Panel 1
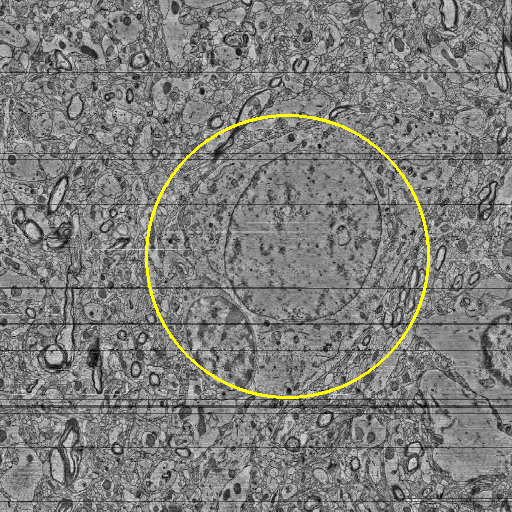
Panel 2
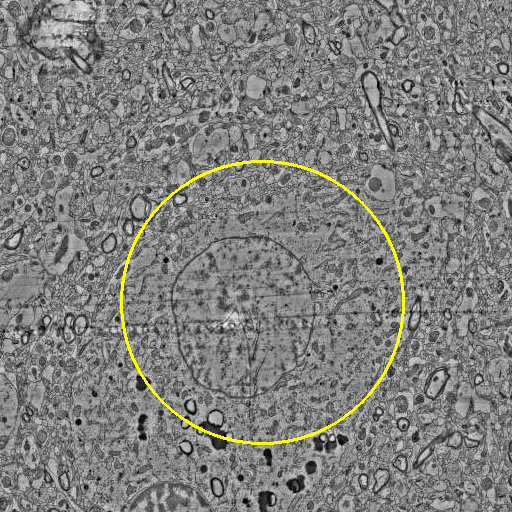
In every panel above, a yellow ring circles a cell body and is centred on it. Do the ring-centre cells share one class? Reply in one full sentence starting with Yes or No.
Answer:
Yes, the two cells at the ring centres in the panels belong to one class.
